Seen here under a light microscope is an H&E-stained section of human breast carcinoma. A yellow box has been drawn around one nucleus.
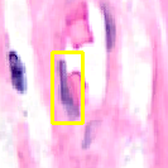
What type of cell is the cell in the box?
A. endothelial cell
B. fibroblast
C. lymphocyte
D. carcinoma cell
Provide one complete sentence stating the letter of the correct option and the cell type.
The correct response is option A: the cell in the box is an endothelial cell.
